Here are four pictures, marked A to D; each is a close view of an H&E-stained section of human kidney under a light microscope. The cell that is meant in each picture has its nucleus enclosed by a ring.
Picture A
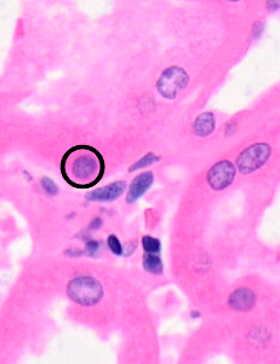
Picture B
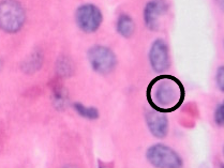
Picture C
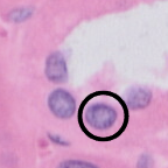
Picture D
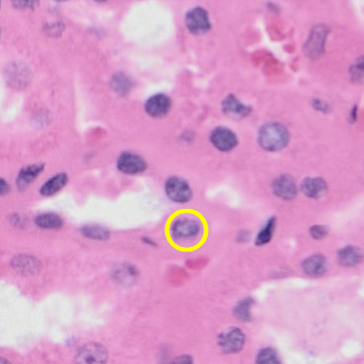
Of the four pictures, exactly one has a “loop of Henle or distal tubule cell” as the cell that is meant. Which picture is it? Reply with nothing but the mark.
C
